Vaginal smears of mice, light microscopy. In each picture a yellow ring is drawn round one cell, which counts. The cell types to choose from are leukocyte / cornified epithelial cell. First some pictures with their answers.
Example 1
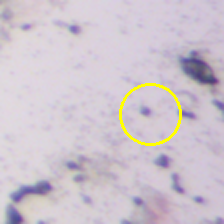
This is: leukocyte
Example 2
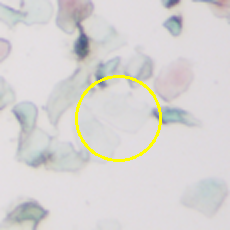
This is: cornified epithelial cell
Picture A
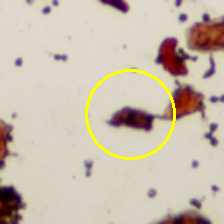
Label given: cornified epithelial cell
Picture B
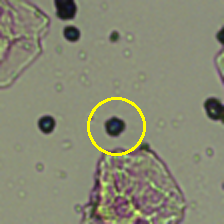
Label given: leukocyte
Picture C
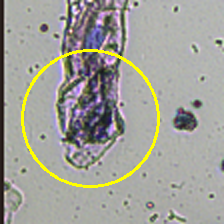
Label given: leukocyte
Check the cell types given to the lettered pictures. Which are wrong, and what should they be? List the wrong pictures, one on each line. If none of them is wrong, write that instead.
C: not leukocyte but cornified epithelial cell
